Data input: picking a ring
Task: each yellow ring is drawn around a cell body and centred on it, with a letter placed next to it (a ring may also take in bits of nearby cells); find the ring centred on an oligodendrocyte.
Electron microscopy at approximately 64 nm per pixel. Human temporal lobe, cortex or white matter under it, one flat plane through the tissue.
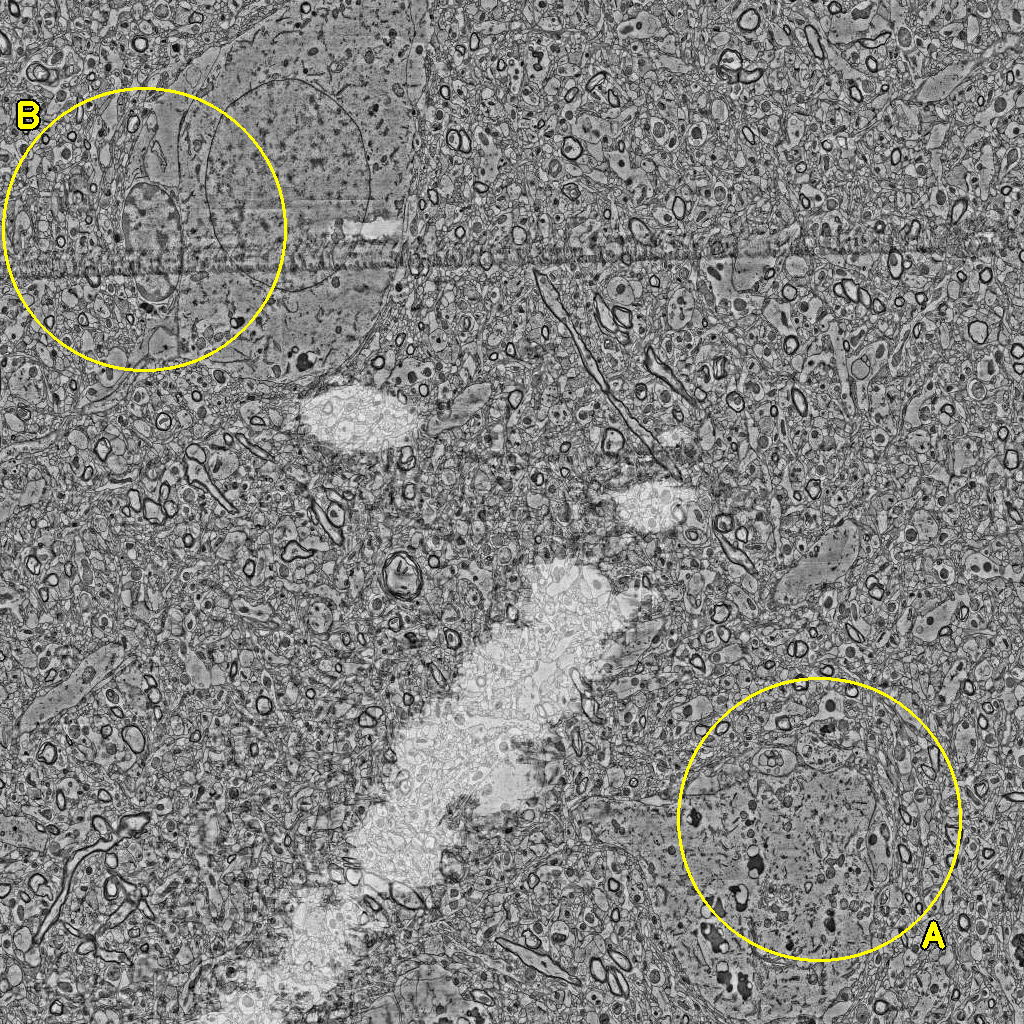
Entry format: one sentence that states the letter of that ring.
In the picture, the cell asked for sits at the centre of ring A.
